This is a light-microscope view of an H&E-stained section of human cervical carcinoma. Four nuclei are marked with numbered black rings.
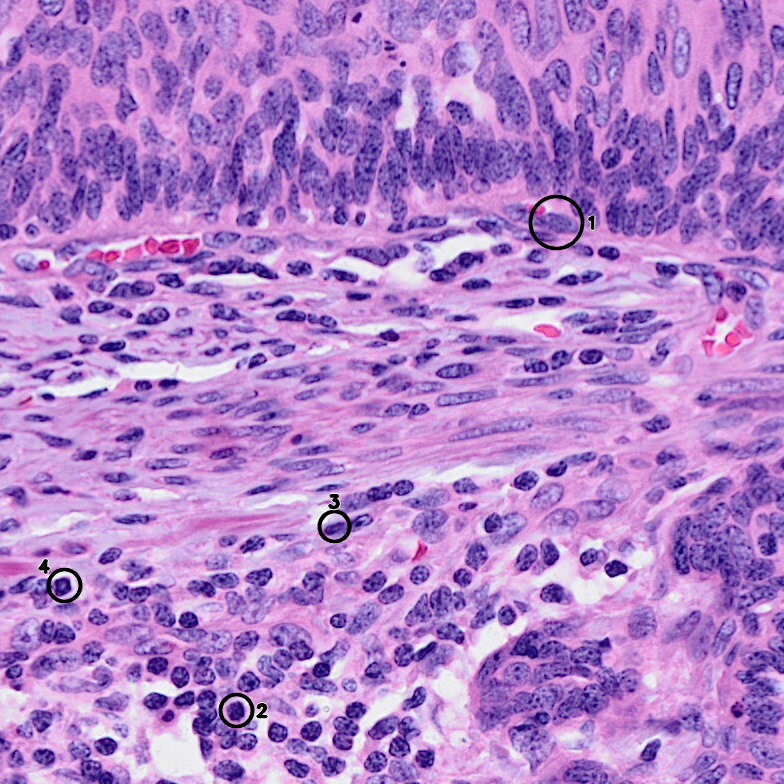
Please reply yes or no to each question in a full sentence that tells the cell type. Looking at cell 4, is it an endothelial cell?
No, number 4 identifies a lymphocyte, not an endothelial cell.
